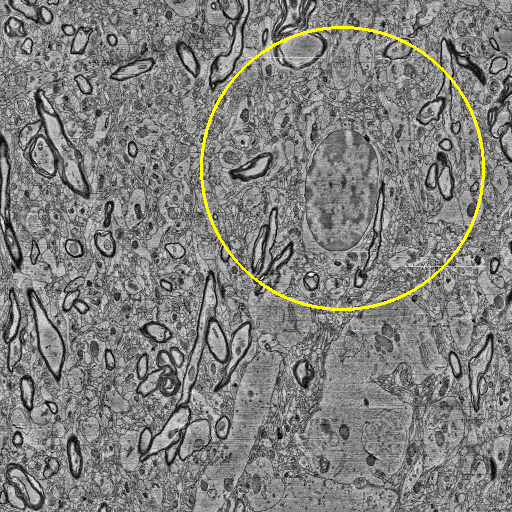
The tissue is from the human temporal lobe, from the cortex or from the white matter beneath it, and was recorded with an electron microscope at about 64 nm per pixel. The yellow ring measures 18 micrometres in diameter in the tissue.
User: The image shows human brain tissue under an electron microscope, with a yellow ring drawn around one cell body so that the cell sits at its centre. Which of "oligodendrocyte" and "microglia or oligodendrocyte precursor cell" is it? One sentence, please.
At the centre of the ring sits a microglial cell or oligodendrocyte precursor cell.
